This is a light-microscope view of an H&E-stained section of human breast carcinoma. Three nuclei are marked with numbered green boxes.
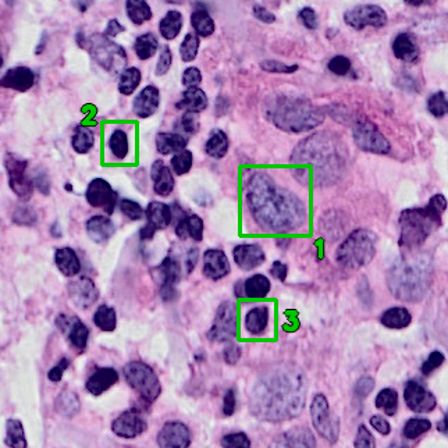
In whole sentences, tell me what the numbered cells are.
Cell 1 is a carcinoma cell, cell 2 is a lymphocyte and cell 3 is a lymphocyte.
